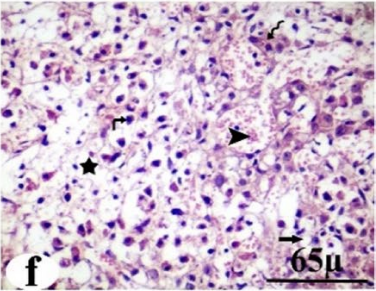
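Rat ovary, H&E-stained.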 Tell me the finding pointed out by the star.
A: degenerative luteal cells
